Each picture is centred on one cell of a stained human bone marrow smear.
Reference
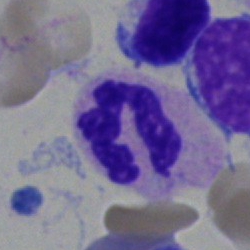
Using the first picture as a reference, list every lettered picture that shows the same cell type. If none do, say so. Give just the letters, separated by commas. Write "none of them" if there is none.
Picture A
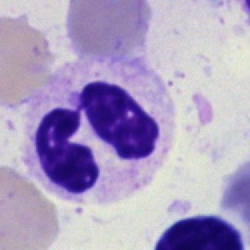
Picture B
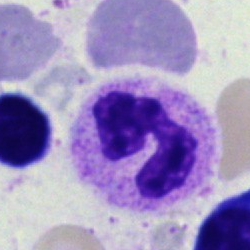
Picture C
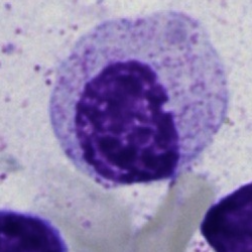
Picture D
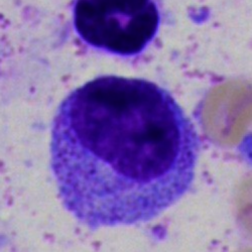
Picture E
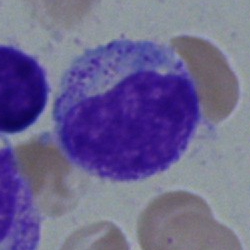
A, B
